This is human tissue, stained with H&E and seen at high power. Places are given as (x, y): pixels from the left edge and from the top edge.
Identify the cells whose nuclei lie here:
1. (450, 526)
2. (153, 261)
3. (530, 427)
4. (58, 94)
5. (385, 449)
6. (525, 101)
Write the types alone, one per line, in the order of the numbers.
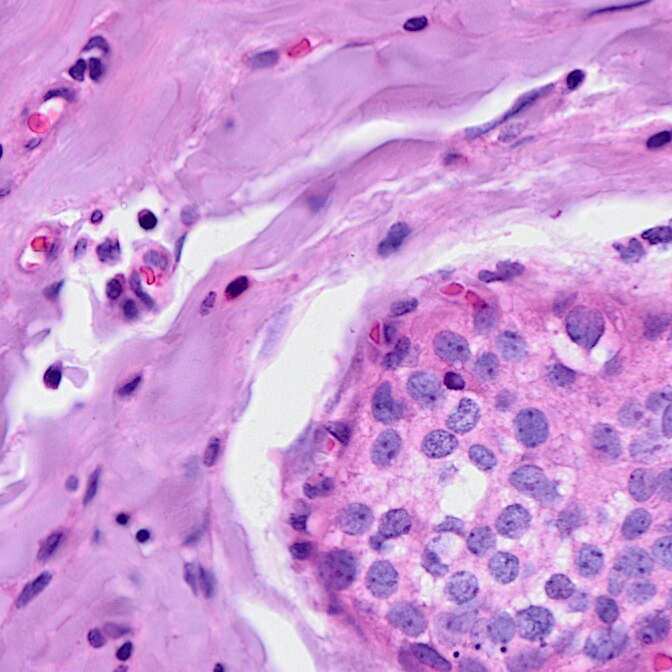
carcinoma cell
endothelial cell
carcinoma cell
endothelial cell
carcinoma cell
fibroblast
